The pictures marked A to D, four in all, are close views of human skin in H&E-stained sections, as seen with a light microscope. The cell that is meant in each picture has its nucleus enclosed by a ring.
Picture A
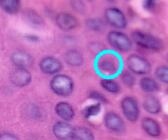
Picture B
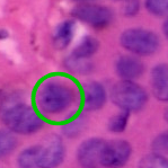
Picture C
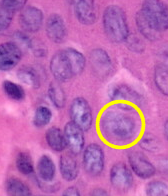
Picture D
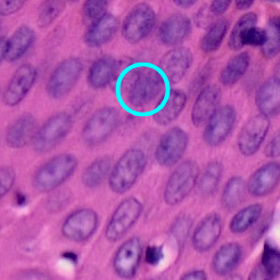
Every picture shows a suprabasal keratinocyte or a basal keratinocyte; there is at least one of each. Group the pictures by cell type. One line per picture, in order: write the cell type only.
basal keratinocyte
basal keratinocyte
suprabasal keratinocyte
suprabasal keratinocyte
